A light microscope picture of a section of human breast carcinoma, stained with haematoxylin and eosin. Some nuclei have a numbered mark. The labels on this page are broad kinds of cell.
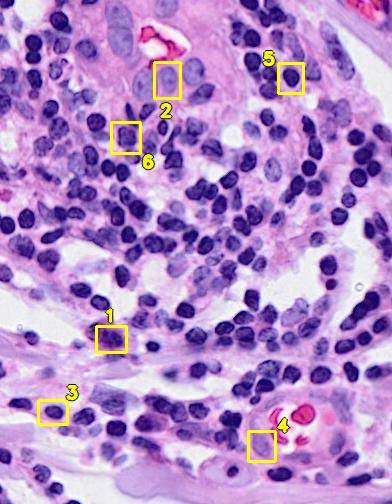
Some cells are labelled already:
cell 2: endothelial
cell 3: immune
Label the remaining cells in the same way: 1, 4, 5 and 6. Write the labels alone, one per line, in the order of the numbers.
immune
endothelial
immune
immune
